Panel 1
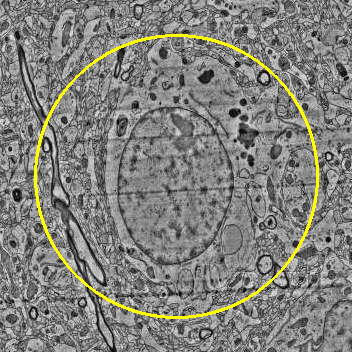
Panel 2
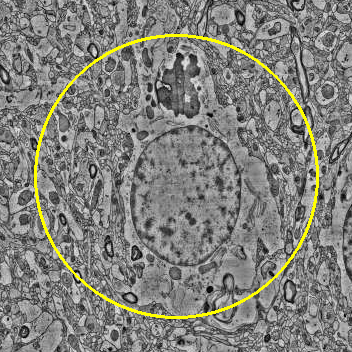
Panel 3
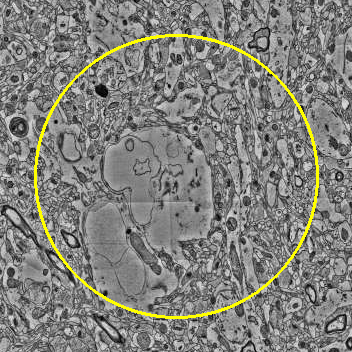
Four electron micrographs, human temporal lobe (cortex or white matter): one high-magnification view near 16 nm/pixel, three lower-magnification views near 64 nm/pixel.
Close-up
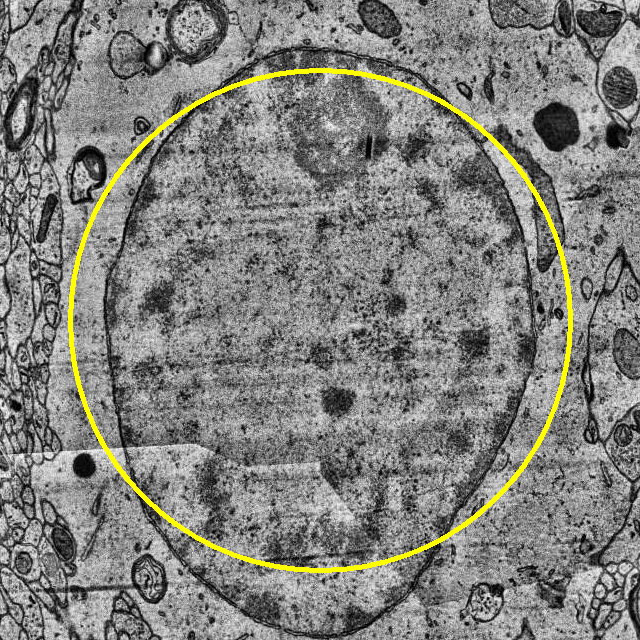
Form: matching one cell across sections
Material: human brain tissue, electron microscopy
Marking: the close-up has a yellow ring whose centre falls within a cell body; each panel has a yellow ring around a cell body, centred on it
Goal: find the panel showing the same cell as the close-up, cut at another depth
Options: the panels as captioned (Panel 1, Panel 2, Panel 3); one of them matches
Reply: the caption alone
Panel 1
